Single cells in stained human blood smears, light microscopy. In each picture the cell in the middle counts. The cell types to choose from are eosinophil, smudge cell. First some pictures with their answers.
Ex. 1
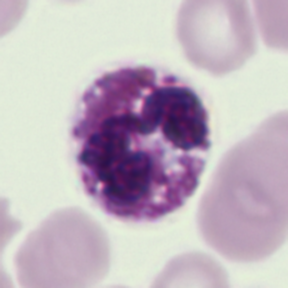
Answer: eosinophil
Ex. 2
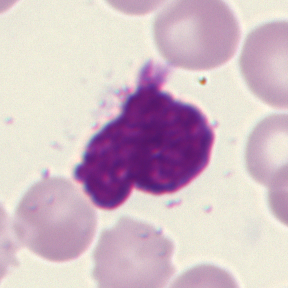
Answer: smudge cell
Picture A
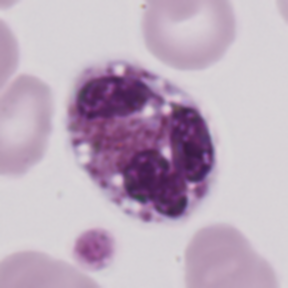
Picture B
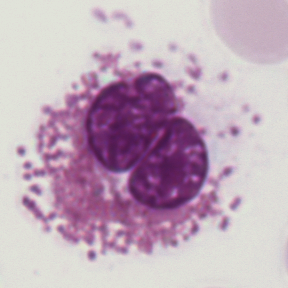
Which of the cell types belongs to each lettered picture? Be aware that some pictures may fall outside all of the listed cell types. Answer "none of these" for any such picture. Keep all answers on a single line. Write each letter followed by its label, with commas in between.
A eosinophil, B eosinophil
